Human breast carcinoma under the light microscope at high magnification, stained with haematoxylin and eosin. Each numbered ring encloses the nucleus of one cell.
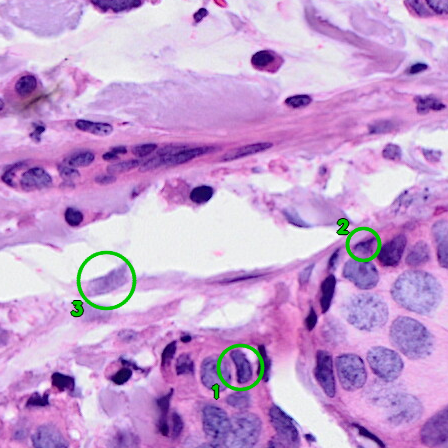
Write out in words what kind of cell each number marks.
Cells 1 and 2 are carcinoma cells. Cell 3 is a fibroblast.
